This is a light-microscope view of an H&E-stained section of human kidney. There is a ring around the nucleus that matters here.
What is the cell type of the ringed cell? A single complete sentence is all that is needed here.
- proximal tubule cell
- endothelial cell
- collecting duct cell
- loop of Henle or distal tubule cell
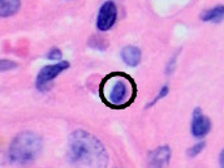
At the level of cell identity, the ringed cell is an endothelial cell.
